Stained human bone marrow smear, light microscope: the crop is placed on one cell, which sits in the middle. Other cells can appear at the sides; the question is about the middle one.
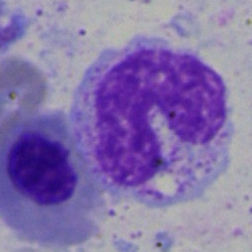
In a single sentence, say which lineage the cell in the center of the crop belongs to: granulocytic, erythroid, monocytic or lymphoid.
Designated monocytic in lineage is the cell at the center of the crop.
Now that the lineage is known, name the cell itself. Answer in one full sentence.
Here the centrally located cell is a monocyte.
